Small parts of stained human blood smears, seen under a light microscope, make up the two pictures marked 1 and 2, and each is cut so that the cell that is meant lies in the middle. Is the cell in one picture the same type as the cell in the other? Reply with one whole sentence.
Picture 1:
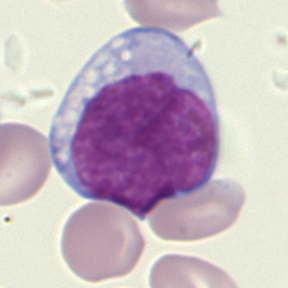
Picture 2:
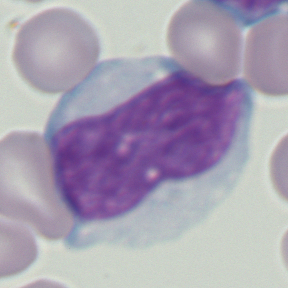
Yes, both are myeloblasts.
